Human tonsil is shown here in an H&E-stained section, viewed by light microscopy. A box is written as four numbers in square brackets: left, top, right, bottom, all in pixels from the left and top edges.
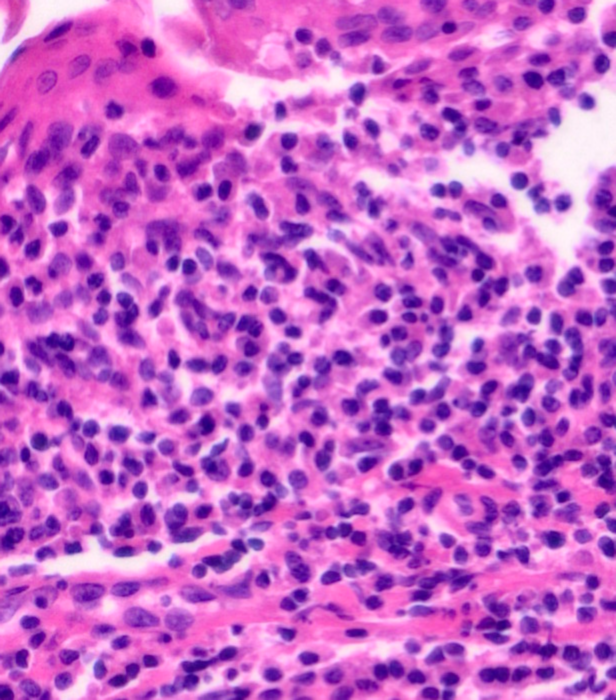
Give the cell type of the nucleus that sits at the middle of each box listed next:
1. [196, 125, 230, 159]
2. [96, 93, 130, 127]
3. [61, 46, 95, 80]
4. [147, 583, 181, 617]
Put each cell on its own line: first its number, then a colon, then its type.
1: squamous epithelial cell
2: squamous epithelial cell
3: squamous epithelial cell
4: endothelial cell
